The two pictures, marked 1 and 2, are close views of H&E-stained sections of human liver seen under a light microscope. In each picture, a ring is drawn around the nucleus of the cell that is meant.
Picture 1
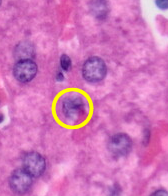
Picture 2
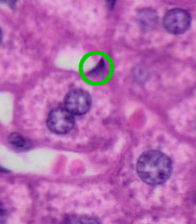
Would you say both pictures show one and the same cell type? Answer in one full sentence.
Yes, both are endothelial cells.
